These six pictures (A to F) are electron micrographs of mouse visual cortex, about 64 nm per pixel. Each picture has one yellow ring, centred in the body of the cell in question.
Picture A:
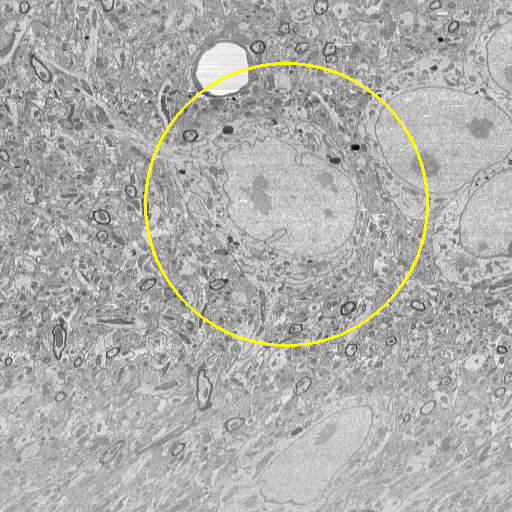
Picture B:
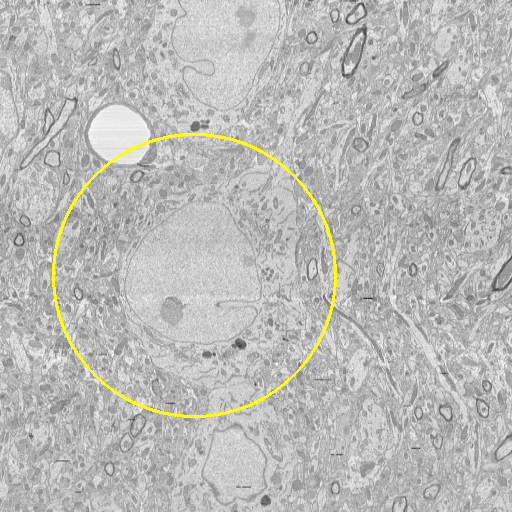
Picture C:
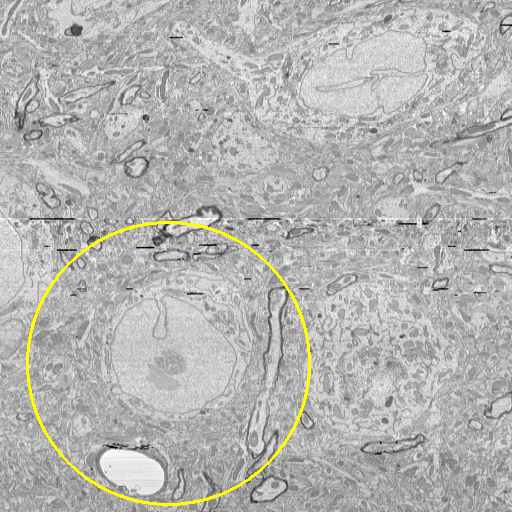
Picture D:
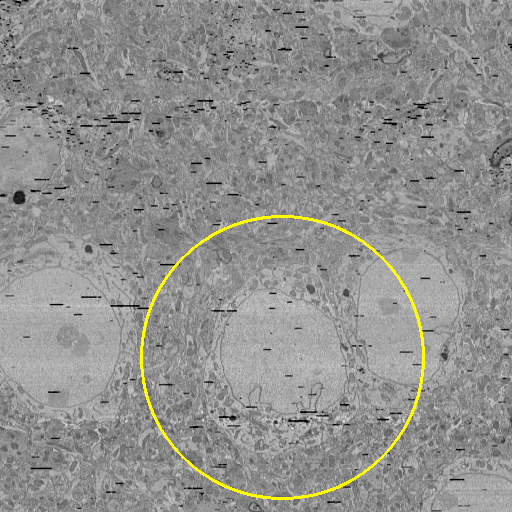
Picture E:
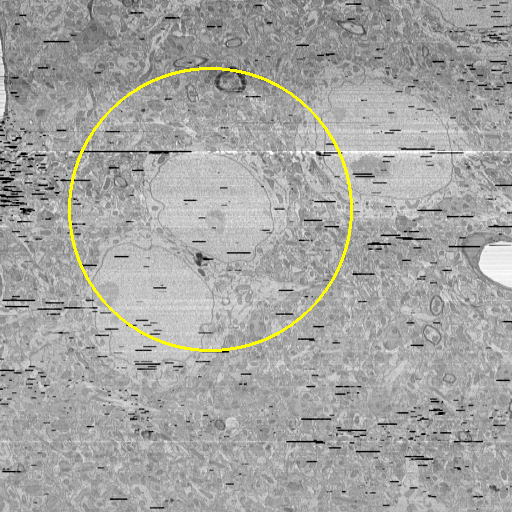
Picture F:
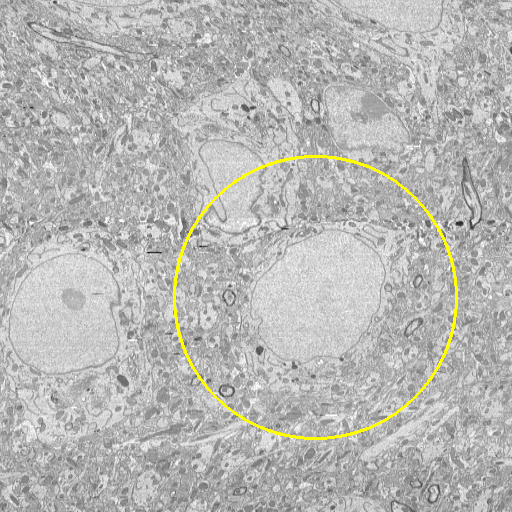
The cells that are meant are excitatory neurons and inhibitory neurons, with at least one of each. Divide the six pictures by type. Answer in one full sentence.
Pictures B, E and F show excitatory neurons; pictures A, C and D show inhibitory neurons.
